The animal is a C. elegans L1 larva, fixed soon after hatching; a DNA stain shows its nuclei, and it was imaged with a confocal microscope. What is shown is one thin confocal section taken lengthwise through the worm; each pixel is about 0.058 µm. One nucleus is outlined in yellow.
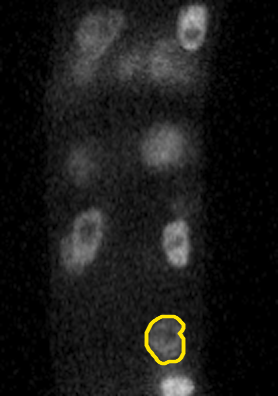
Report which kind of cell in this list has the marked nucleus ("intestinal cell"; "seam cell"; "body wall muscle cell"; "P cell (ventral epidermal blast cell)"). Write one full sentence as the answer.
The marked cell is an intestinal cell.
